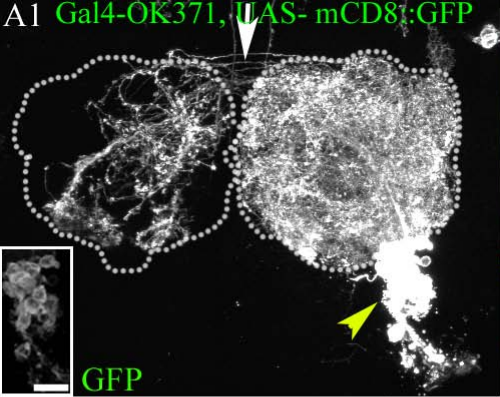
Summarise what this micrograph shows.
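White fine fibres densely fill one dotted-outlined rounded neuropil and more sparsely branch into the paired one on the other side, with a thin bundle crossing between them at the top. A bright clump of rounded cell bodies sits below and lateral to the densely filled region, and the inset shows a few such rounded somata with ring-like outlines. These are the somata of a cell cluster ventrolateral to the antennal lobe with commissural projections to the contralateral lobe.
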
